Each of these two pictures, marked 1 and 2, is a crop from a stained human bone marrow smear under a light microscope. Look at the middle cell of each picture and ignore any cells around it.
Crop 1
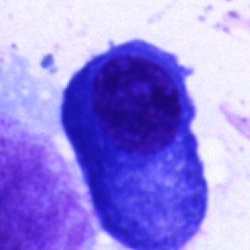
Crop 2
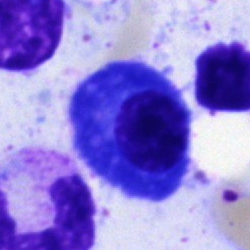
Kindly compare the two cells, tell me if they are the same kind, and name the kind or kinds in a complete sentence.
Yes, the cells at the centre of the two crops are both plasma cells.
